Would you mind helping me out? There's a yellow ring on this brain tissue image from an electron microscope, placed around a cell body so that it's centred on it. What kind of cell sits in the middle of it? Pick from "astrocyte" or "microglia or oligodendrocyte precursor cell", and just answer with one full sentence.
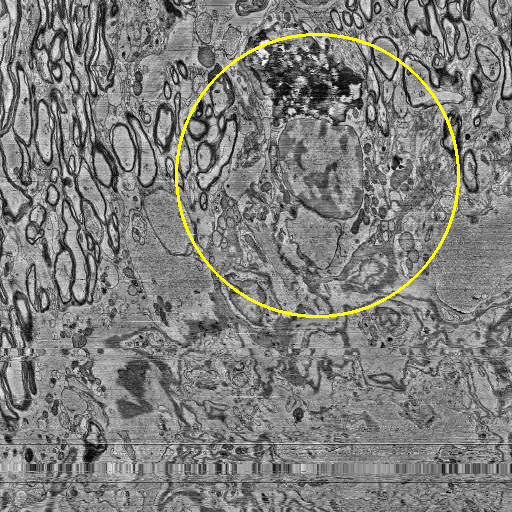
What sits in the middle of that yellow ring is a microglial cell or oligodendrocyte precursor cell, from your choices.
